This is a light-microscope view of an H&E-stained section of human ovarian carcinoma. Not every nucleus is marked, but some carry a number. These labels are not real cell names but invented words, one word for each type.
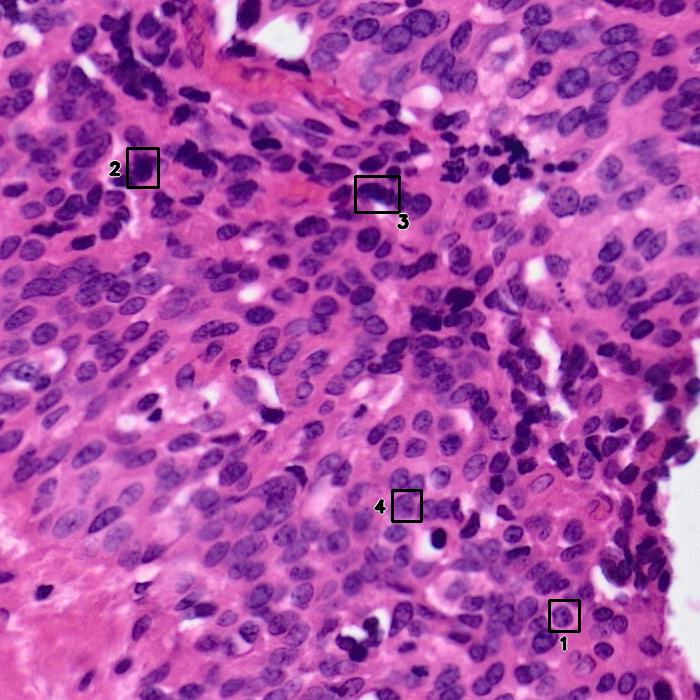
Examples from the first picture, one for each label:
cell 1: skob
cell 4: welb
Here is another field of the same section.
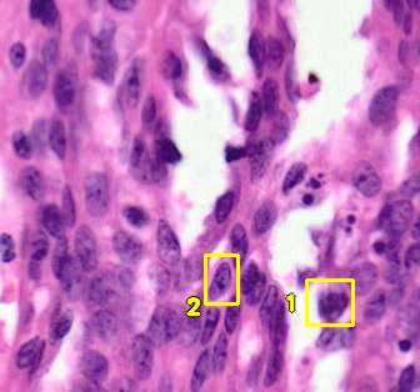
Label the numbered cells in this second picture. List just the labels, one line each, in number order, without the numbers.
welb
skob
